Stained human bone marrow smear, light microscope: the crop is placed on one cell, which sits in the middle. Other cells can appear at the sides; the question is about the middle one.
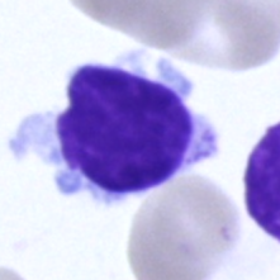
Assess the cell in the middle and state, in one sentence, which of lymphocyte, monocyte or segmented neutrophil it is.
By type, the central cell of the crop is a lymphocyte.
